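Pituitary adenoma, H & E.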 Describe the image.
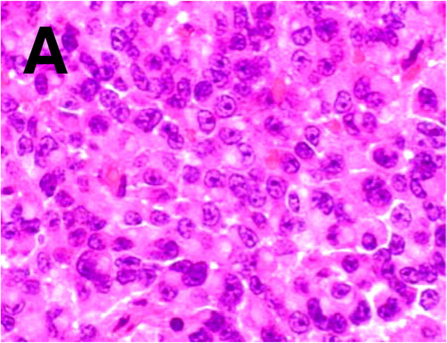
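A solid nest of tumor cells fills the field as a continuous sheet without glands or lumina. The cells are closely packed with round to oval purple nuclei, some showing small nucleoli, set in pink cytoplasm with indistinct cell borders.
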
